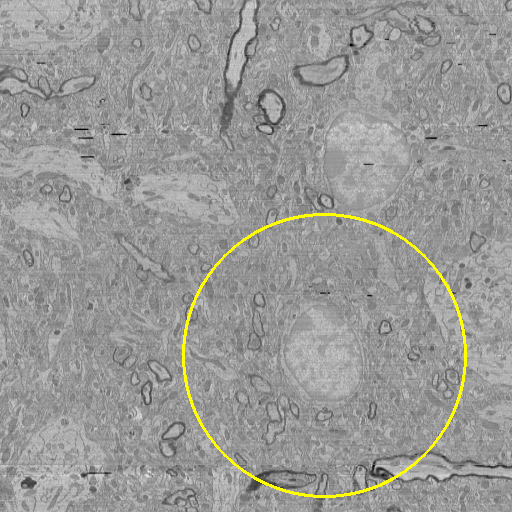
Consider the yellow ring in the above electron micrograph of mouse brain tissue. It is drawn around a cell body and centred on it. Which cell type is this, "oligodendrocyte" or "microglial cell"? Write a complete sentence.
The cell in question is an oligodendrocyte.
